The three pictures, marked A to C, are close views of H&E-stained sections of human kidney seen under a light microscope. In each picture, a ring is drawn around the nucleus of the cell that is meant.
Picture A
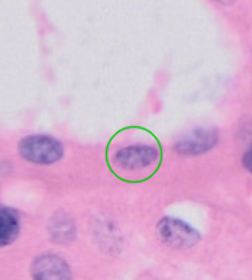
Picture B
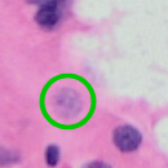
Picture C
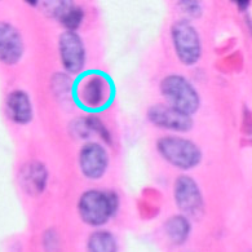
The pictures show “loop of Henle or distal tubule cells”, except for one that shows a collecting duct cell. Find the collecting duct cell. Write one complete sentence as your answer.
Picture C is the one that shows the collecting duct cell.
